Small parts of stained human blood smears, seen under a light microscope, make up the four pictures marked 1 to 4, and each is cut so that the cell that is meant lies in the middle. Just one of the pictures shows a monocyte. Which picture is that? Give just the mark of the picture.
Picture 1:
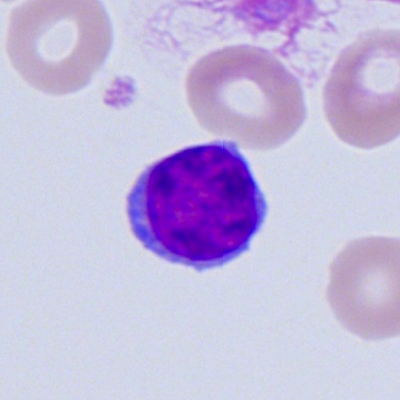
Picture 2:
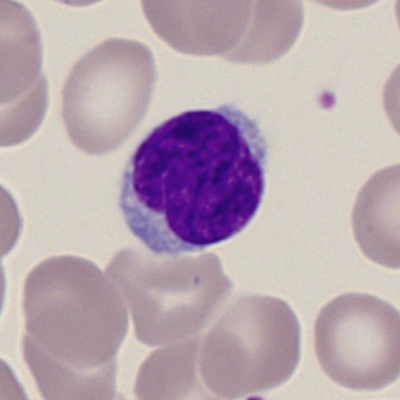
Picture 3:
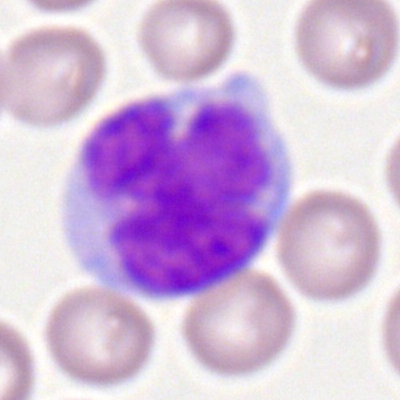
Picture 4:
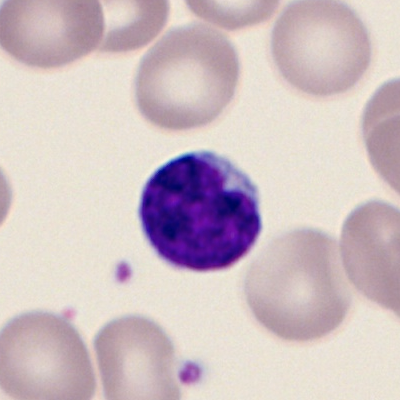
3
